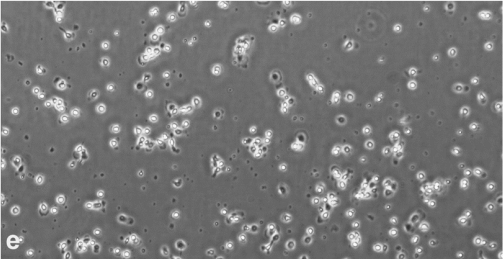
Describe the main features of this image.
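Many are small and round with a bright rim, while others have flattened and spread into irregular shapes. The cells are scattered densely and often gather into loose clumps of several touching cells. No preferred orientation is seen among them.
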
